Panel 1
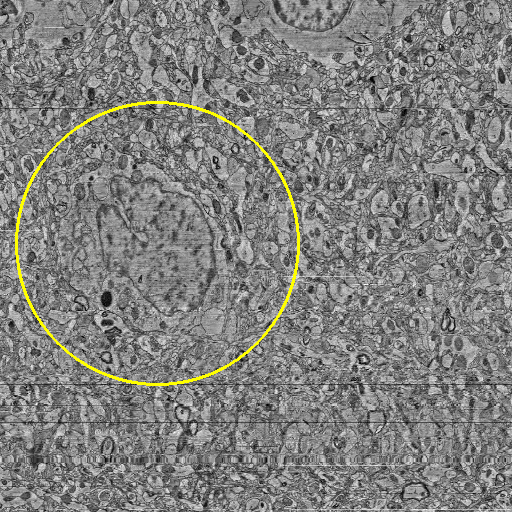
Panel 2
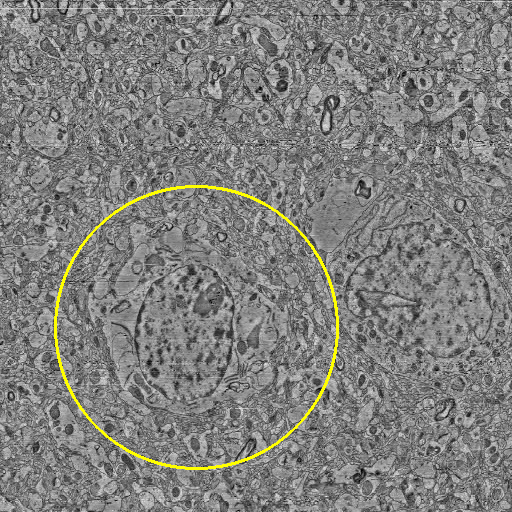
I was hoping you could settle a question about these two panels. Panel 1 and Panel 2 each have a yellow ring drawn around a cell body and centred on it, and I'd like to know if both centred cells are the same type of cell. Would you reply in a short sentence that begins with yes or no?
No, they are two types of cell.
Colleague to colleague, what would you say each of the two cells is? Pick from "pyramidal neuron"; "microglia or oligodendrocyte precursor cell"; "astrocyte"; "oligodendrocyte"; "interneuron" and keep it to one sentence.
The cell in the first picture is an interneuron; the second picture's cell is an astrocyte.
